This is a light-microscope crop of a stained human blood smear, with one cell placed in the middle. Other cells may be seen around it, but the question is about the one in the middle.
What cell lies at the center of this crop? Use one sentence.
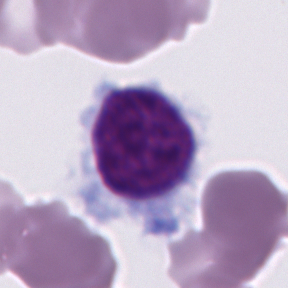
In the middle of this smear crop is a hairy cell.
